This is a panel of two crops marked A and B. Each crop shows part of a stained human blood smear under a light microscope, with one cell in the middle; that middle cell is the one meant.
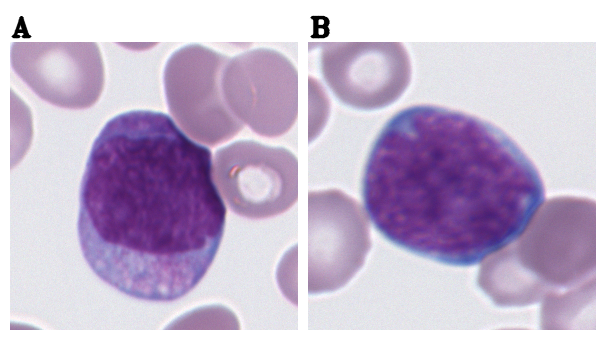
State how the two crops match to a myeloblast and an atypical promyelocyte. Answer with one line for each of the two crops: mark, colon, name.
A: atypical promyelocyte
B: myeloblast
